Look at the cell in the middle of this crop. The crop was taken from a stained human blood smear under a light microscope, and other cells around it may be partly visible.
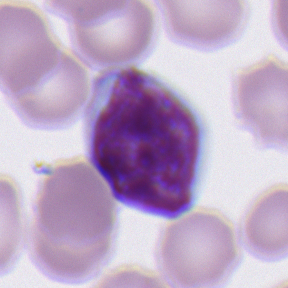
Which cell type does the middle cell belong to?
lymphocyte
